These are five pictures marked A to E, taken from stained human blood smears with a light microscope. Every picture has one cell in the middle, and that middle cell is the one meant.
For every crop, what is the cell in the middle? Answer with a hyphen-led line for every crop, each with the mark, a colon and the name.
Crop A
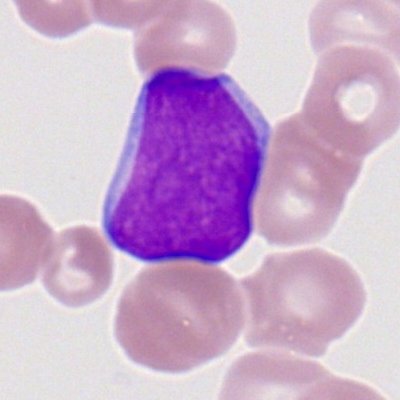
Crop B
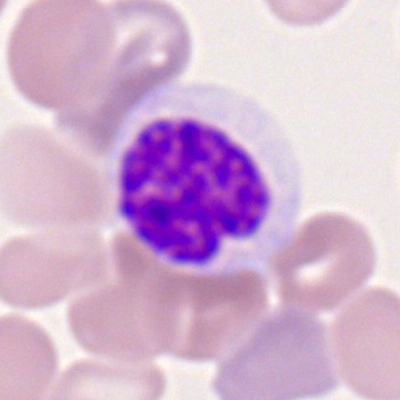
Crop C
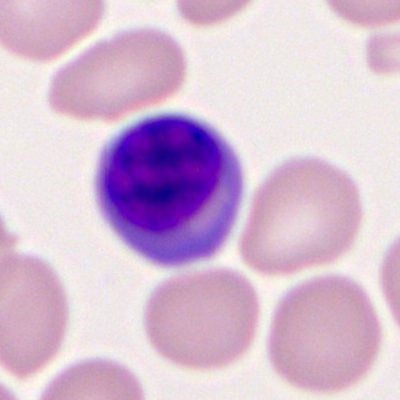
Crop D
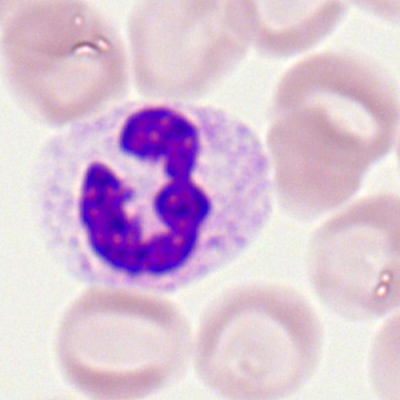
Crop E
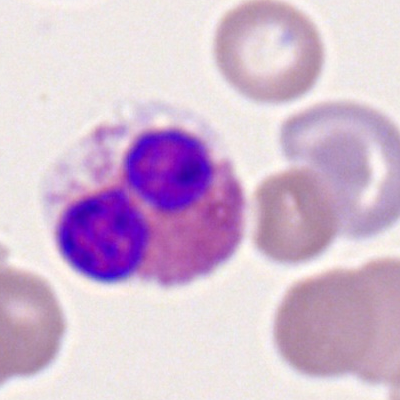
- A: myeloblast
- B: band neutrophil
- C: normoblast
- D: segmented neutrophil
- E: eosinophil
